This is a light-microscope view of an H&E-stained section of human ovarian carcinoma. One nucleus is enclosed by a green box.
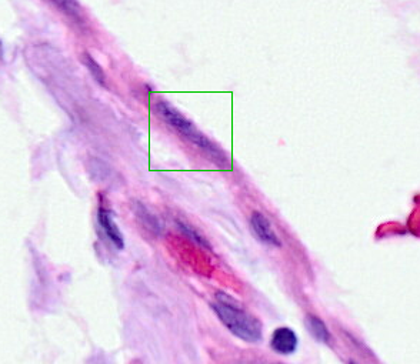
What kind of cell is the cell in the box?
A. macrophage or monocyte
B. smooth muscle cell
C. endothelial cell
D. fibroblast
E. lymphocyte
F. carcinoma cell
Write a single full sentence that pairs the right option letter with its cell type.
Under option C, the cell in the box is an endothelial cell, which is the correct identification.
